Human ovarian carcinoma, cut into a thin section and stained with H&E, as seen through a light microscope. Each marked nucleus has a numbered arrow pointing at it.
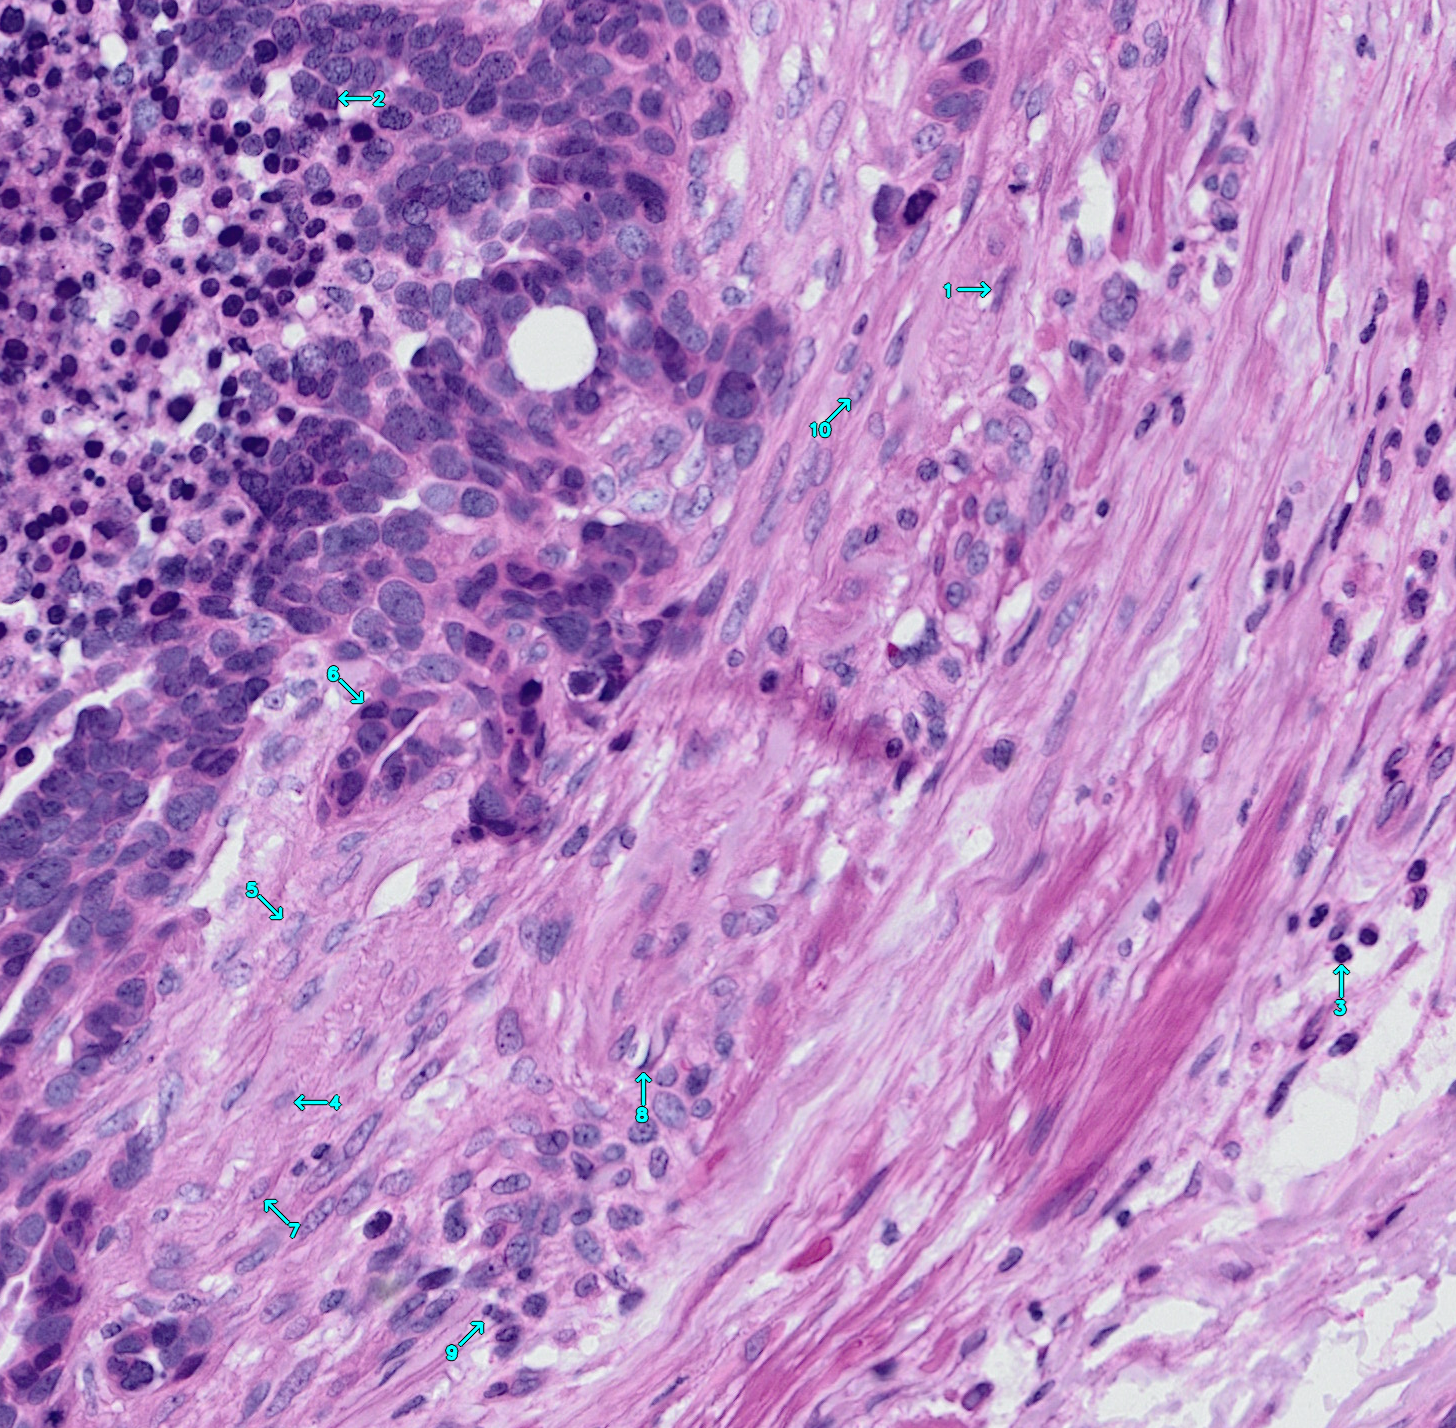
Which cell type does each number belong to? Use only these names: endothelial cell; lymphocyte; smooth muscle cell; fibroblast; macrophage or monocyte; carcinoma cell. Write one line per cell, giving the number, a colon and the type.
1: fibroblast
2: carcinoma cell
3: lymphocyte
4: fibroblast
5: fibroblast
6: carcinoma cell
7: fibroblast
8: fibroblast
9: macrophage or monocyte
10: fibroblast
